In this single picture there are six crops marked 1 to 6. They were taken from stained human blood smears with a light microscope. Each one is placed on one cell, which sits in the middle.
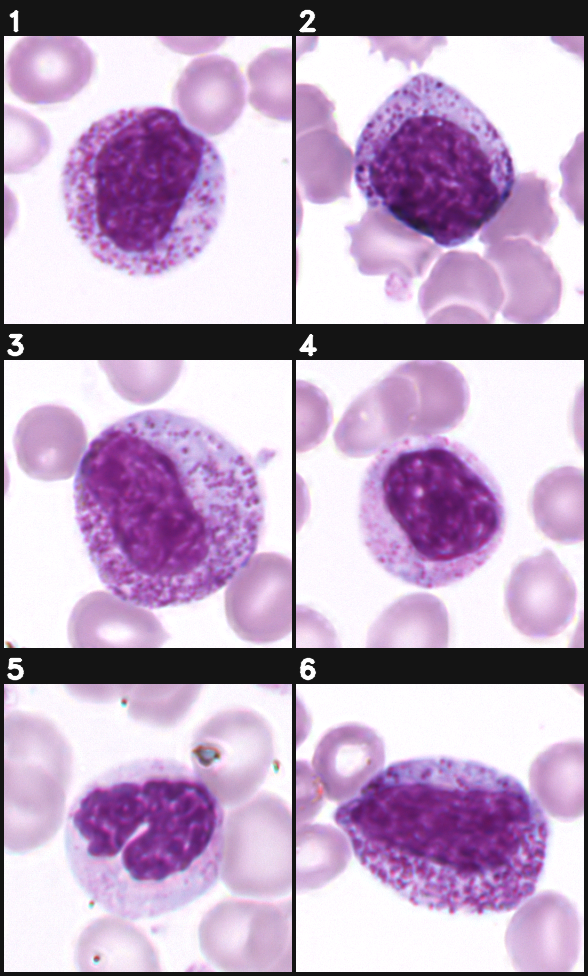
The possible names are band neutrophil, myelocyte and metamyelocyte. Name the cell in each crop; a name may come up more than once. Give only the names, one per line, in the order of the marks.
myelocyte
myelocyte
metamyelocyte
metamyelocyte
band neutrophil
myelocyte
